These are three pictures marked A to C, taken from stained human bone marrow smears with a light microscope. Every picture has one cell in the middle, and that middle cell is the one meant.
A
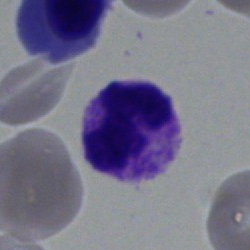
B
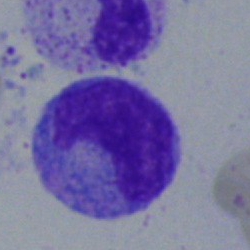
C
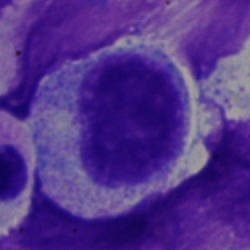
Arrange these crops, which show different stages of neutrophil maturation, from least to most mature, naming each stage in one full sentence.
Ranked by maturation stage, earliest first, the crops read crop C (a myelocyte), crop B (a metamyelocyte) and crop A (a segmented neutrophil).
